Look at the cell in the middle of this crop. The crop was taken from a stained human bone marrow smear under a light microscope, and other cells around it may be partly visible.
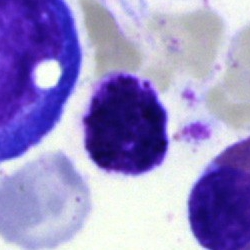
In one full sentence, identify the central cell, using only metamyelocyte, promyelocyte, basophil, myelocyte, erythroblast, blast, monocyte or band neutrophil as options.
The cell in the middle of the field of view is a basophil.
